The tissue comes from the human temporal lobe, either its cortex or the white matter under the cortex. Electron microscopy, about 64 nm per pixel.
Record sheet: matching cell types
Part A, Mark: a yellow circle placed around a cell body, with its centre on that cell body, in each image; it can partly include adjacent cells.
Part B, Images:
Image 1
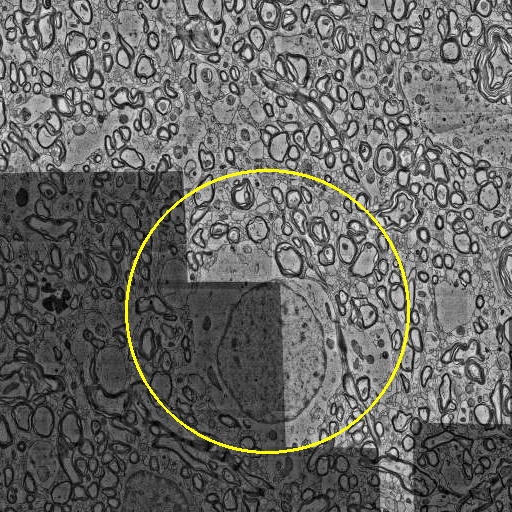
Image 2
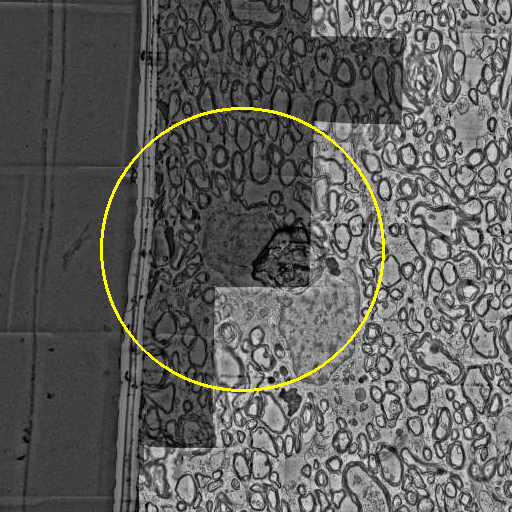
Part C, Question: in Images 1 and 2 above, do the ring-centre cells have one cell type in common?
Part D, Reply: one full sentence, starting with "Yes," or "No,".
No, the ring-centre cells of Image 1 and Image 2 are each of a separate cell type.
